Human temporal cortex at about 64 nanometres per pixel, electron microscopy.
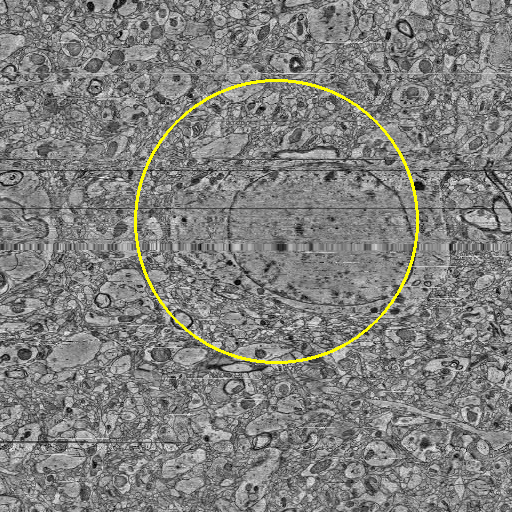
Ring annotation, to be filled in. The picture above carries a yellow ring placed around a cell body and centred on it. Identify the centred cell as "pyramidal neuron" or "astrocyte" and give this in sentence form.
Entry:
The cell in the middle of the ring is a pyramidal neuron.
